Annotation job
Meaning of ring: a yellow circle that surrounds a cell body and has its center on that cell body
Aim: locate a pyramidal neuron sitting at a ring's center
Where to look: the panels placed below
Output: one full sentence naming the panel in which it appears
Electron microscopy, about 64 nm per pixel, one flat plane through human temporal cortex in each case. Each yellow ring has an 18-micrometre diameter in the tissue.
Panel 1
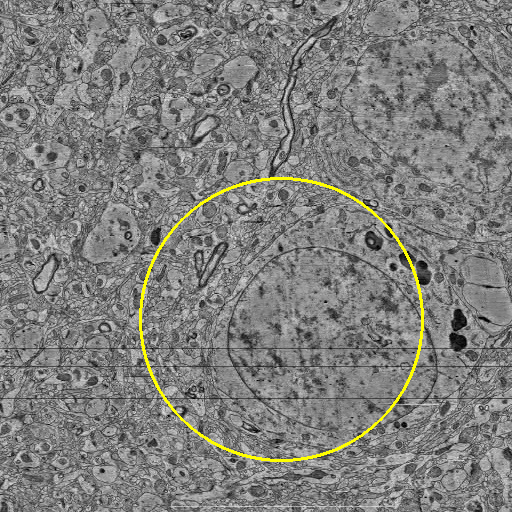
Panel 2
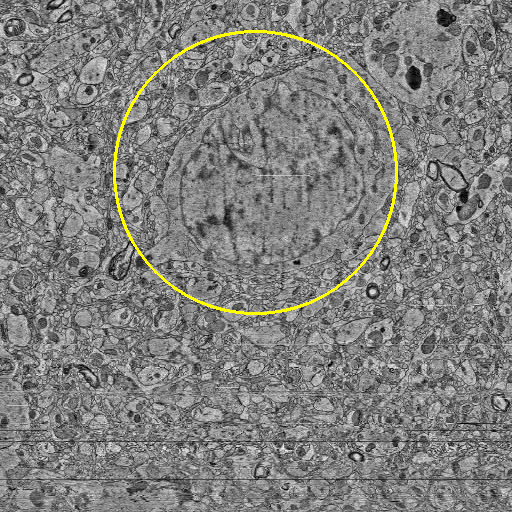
The cell at the center of the ring in panel 1 is the one sought.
